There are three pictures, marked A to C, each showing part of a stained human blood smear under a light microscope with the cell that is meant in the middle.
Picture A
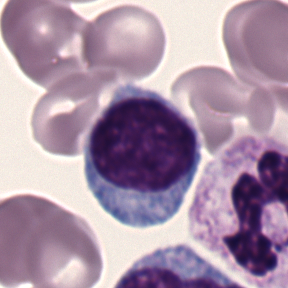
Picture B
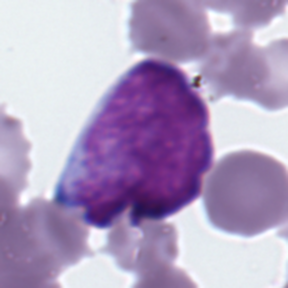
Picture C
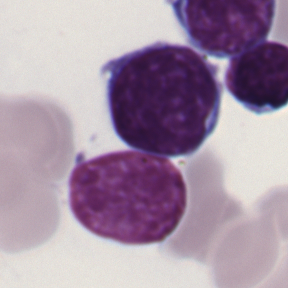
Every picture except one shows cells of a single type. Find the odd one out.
A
